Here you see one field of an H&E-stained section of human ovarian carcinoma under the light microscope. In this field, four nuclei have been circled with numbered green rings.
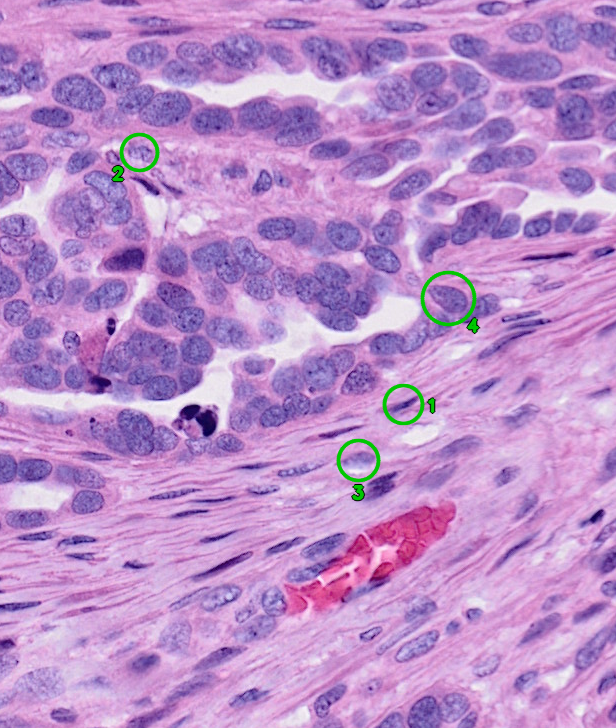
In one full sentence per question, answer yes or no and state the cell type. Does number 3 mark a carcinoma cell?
No, for cell 3, the correct identification is a fibroblast instead of a carcinoma cell.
